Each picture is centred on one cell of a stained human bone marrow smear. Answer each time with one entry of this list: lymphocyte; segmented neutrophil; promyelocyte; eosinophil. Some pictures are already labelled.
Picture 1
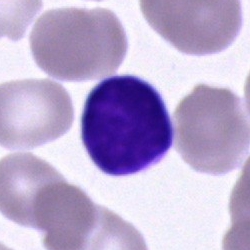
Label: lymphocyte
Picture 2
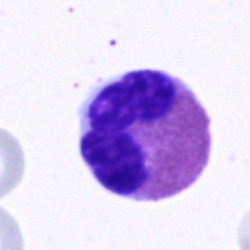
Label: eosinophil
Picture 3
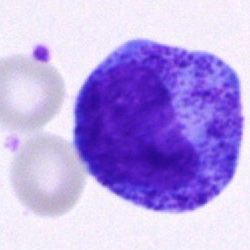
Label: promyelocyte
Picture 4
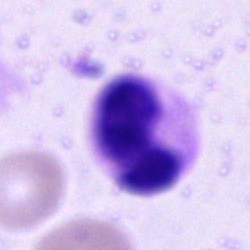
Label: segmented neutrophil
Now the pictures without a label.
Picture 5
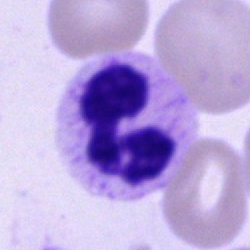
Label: segmented neutrophil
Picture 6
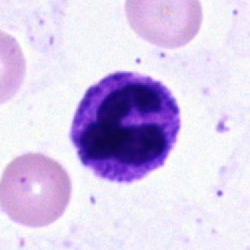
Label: segmented neutrophil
